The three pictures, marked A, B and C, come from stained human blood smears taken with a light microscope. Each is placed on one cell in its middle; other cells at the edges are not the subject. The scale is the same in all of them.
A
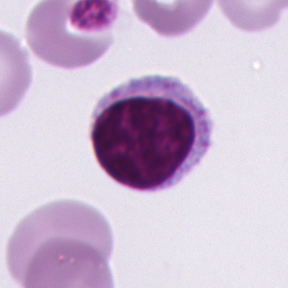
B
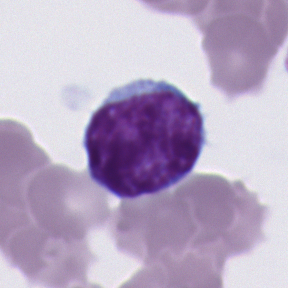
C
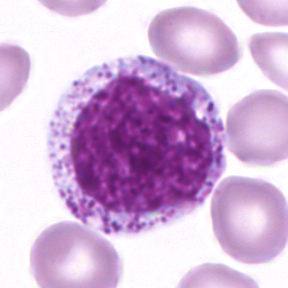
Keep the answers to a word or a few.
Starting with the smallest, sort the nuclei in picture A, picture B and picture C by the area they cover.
A, B, C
